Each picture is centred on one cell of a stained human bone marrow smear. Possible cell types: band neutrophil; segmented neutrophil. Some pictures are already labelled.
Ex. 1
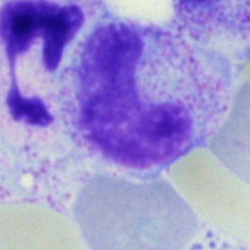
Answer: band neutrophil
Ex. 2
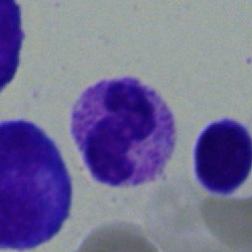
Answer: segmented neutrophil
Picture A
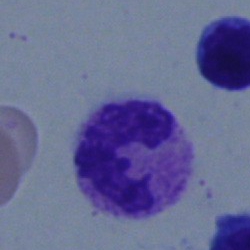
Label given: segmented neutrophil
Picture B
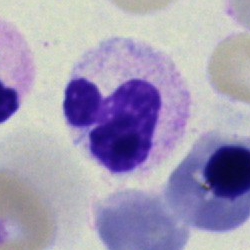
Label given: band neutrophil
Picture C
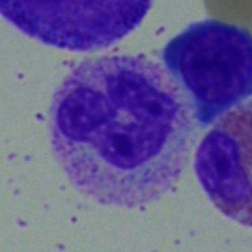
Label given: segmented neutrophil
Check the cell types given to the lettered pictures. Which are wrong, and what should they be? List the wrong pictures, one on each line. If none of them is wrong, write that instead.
A is labelled segmented neutrophil; correct label: band neutrophil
